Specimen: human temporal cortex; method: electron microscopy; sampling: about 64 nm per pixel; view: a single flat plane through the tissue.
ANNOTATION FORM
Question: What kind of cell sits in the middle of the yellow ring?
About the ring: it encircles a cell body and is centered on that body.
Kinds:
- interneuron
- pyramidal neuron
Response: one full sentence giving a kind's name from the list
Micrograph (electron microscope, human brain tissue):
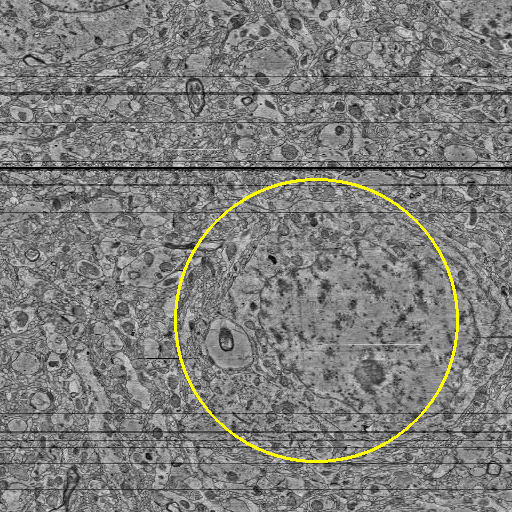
The kind of cell found at the center of the yellow ring in the micrograph is an interneuron.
